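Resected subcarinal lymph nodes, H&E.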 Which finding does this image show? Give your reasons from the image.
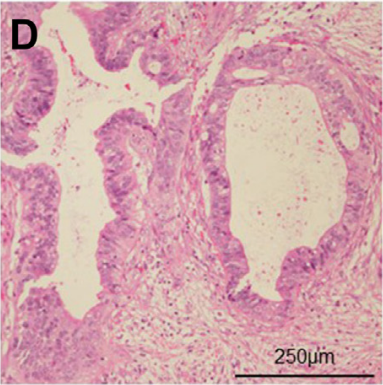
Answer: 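Gland-like tubules with open lumina. Tubules are lined by columnar cells with crowded, stratified nuclei. Fibrous stroma lies between the tubules. On this evidence: tubular proliferation.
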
